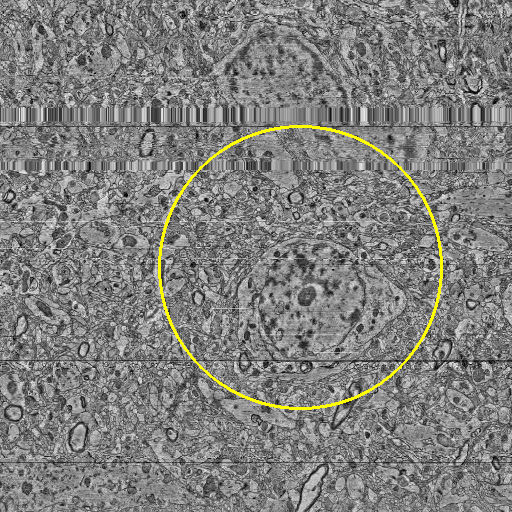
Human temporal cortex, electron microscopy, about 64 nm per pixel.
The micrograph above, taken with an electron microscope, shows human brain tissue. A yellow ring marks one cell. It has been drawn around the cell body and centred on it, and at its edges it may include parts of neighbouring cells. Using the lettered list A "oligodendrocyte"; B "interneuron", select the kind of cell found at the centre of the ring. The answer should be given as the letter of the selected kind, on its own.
B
